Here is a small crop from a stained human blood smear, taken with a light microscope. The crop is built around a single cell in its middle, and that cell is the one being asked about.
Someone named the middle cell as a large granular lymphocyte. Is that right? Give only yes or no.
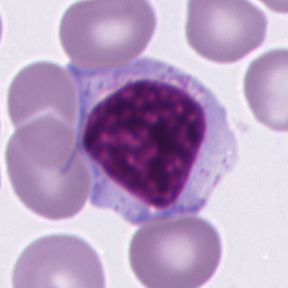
yes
